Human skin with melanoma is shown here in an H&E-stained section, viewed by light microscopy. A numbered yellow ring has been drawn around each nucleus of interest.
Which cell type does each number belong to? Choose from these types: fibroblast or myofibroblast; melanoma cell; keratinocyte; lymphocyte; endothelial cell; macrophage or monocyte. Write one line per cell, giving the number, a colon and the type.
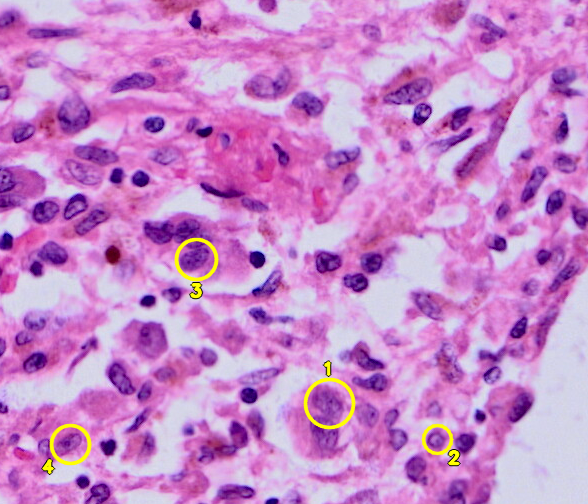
1: melanoma cell
2: macrophage or monocyte
3: melanoma cell
4: macrophage or monocyte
